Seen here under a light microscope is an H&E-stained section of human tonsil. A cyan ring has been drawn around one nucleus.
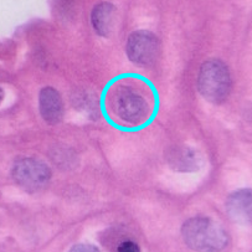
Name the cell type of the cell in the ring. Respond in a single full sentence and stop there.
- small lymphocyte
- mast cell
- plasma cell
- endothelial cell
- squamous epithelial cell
The expected answer is simply that the cell in the ring is a squamous epithelial cell.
